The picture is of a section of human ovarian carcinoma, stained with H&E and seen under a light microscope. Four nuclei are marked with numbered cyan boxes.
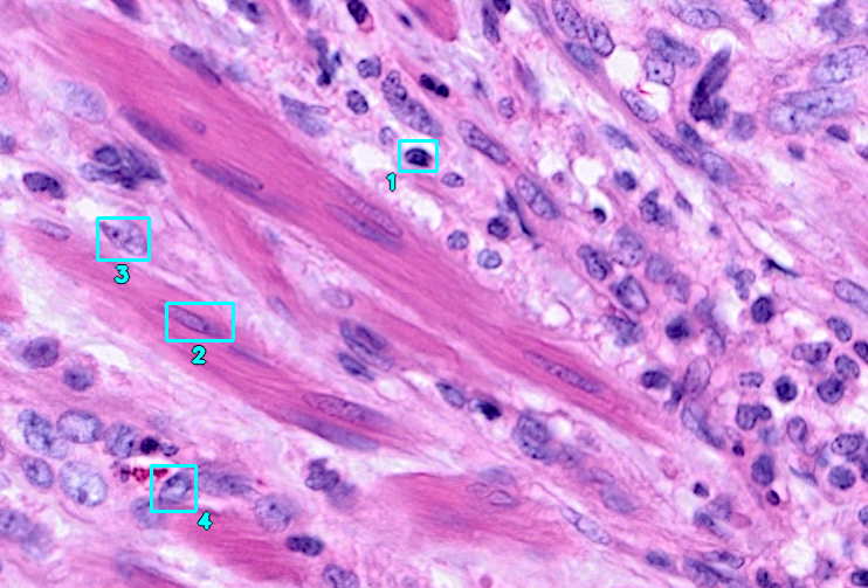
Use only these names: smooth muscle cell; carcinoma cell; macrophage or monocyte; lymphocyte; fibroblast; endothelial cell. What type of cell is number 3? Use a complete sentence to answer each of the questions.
The cell bearing label 3 corresponds to a fibroblast.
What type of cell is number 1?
At number 1, the marked cell is a lymphocyte.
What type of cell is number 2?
To a smooth muscle cell belongs the nucleus marked 2.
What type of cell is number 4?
The nucleus labelled 4 belongs to an endothelial cell.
